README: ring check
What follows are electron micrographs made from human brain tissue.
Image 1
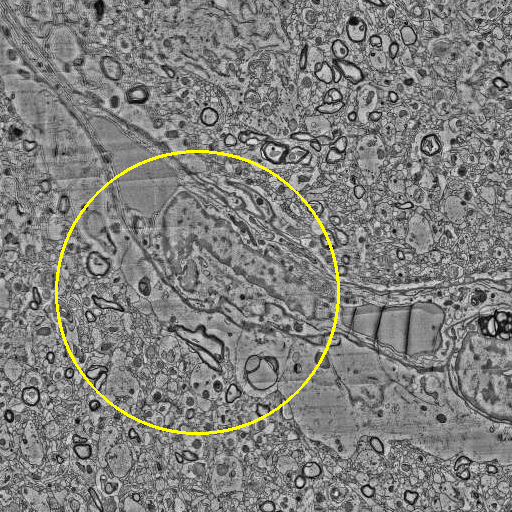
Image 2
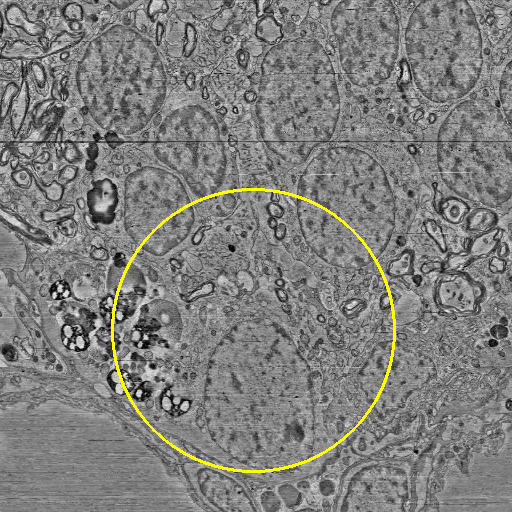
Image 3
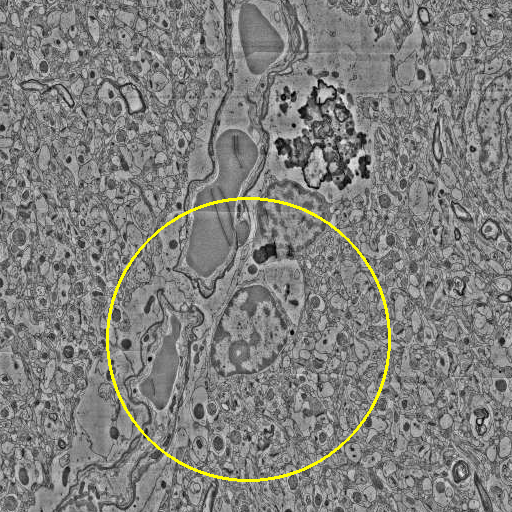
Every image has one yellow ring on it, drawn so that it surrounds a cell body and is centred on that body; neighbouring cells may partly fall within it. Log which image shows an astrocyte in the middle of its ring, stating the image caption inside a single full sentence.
Image 2 is where the cell at the ring's centre matches the one asked for.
